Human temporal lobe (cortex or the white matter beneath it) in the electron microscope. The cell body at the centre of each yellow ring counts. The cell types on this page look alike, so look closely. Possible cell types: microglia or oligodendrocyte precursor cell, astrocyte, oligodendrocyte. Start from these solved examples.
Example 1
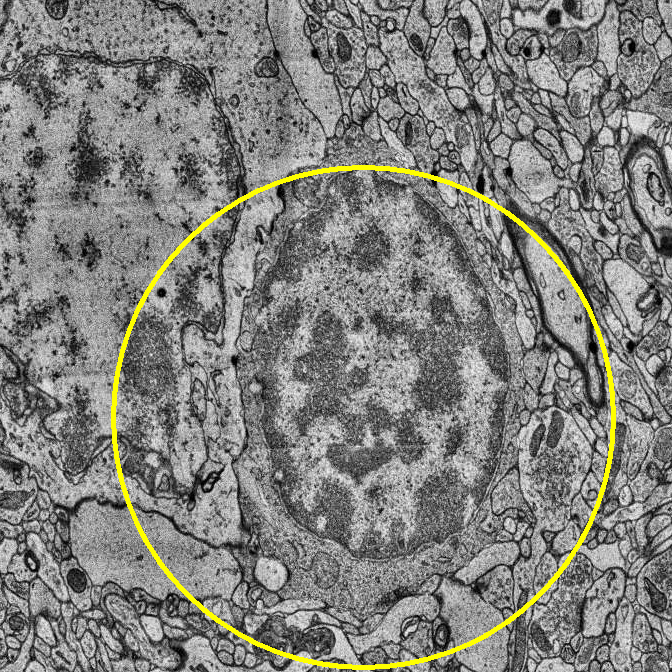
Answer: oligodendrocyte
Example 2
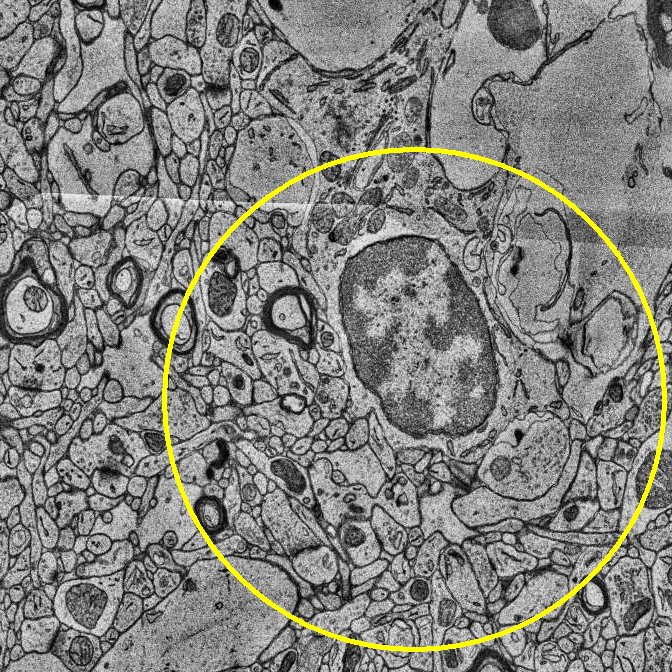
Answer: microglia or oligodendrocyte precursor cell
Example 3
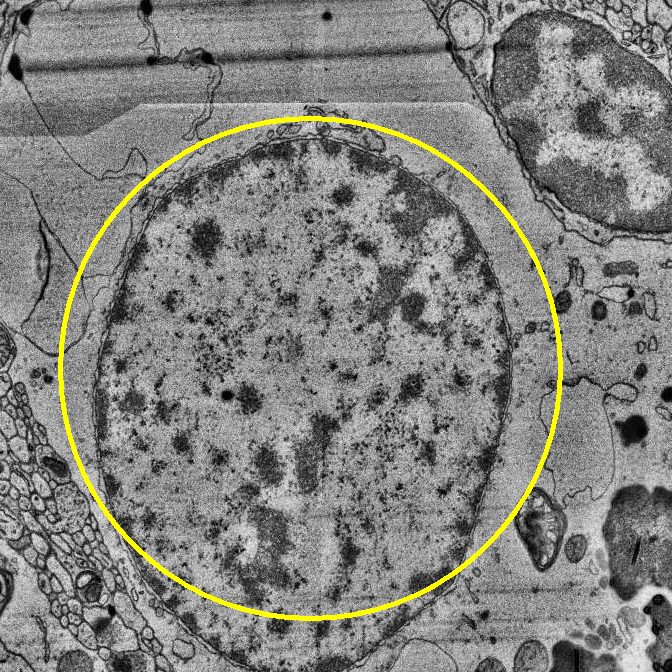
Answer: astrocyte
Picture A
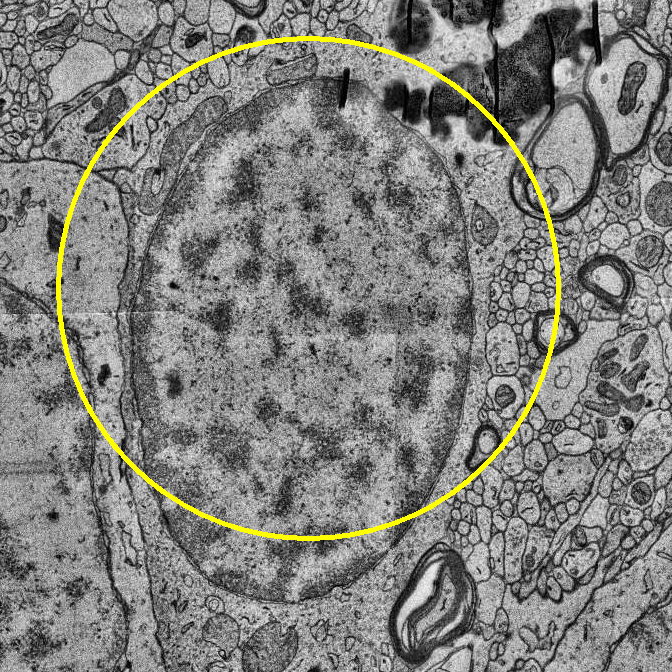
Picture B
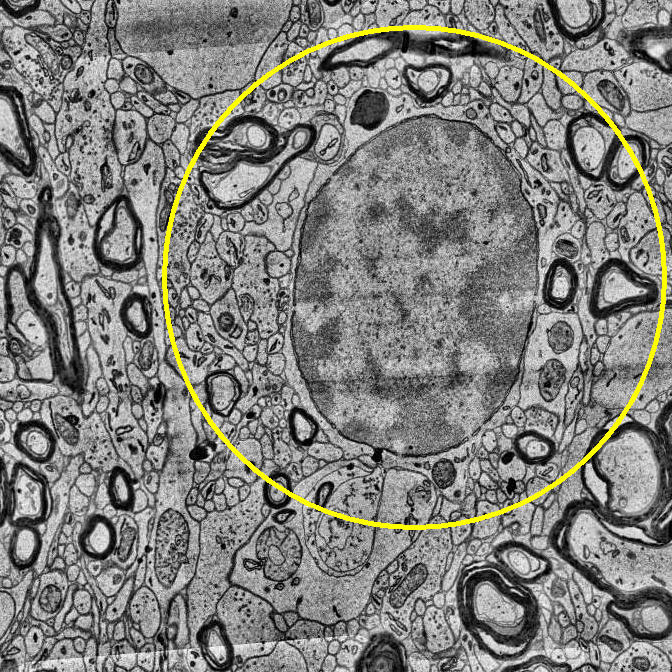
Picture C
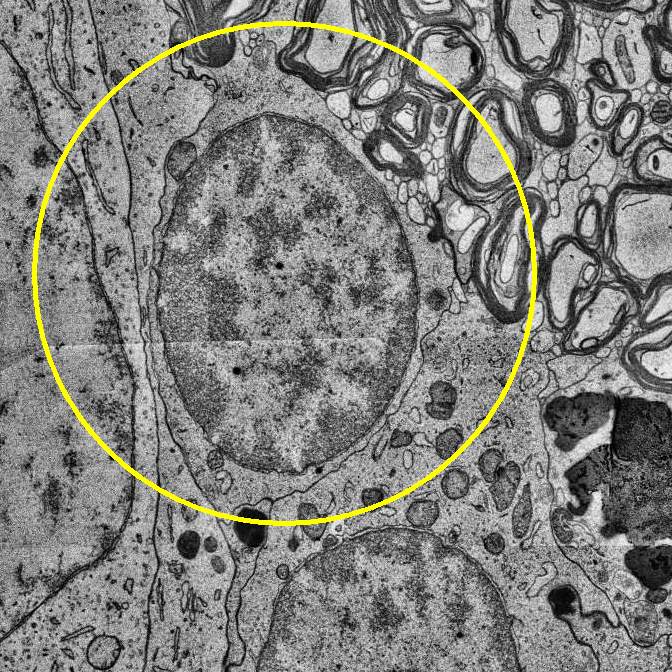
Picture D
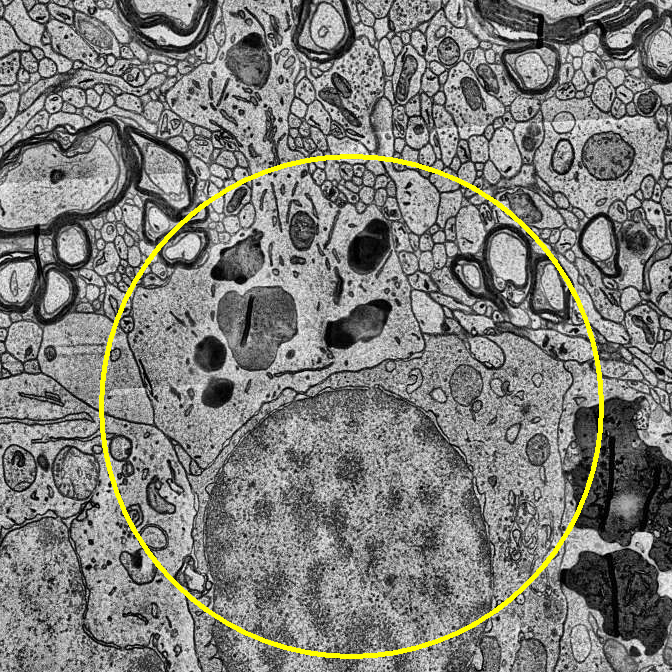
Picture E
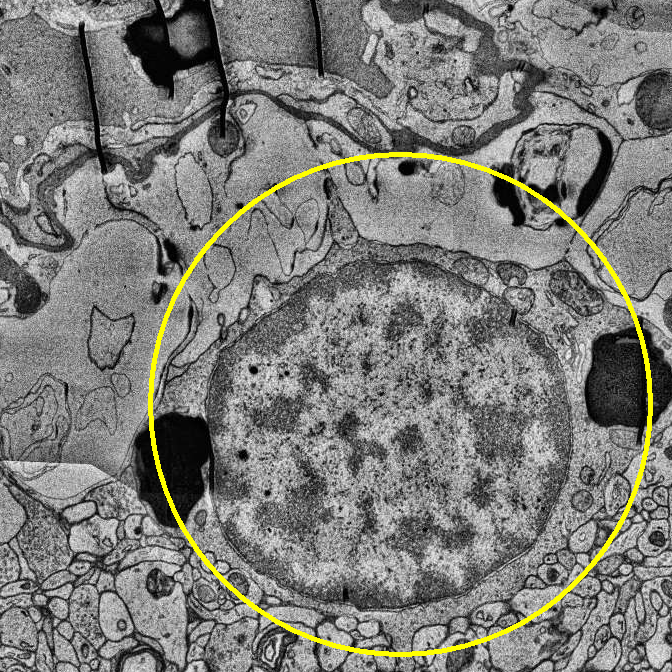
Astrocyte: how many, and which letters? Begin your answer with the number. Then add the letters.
0, none of them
